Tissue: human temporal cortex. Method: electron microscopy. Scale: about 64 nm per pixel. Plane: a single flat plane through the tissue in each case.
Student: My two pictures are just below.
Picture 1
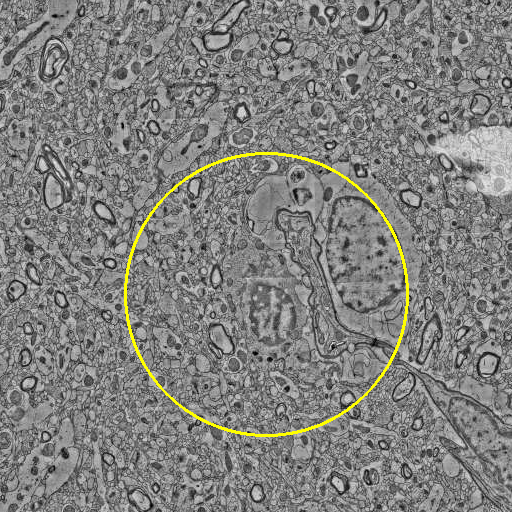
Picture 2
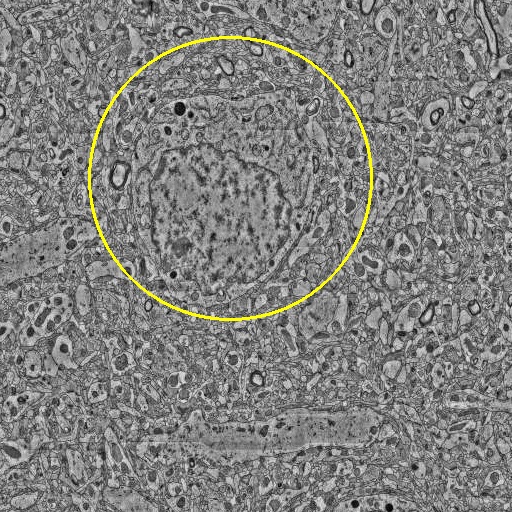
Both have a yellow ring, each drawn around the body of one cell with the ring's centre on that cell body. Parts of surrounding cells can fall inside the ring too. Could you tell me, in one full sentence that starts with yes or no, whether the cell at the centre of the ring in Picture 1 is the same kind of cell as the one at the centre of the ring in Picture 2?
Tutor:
No, the two cells are of two kinds.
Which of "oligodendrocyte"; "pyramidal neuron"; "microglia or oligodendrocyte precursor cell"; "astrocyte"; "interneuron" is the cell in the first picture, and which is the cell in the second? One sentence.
The two differ: the first cell is an oligodendrocyte and the second is an interneuron.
